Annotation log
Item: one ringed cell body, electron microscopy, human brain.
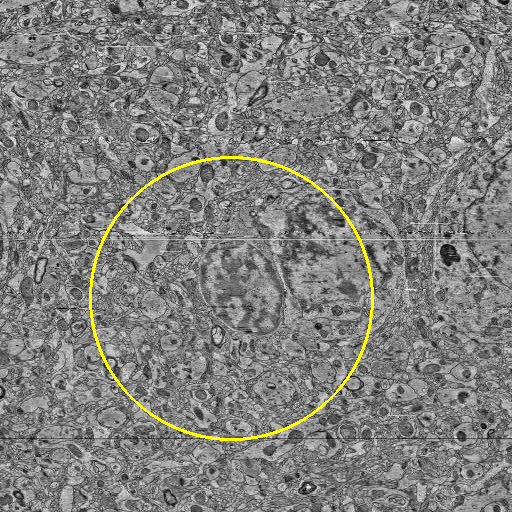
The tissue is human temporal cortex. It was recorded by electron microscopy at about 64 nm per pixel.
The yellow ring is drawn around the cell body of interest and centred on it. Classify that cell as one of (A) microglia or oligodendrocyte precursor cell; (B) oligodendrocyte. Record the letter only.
B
